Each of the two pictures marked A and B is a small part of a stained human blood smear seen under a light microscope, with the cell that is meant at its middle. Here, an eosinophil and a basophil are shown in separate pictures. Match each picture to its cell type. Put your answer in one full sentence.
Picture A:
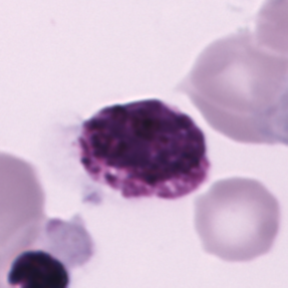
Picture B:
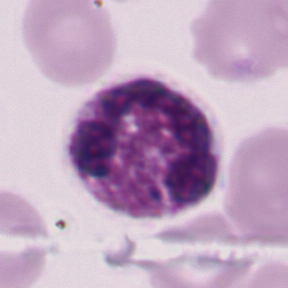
Picture A is of a basophil, and picture B is of an eosinophil.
